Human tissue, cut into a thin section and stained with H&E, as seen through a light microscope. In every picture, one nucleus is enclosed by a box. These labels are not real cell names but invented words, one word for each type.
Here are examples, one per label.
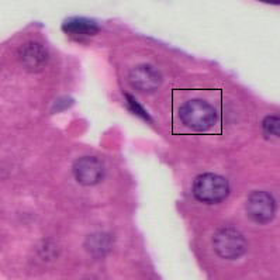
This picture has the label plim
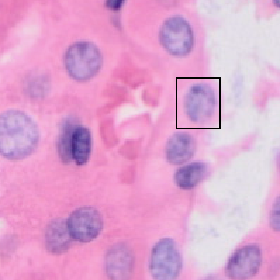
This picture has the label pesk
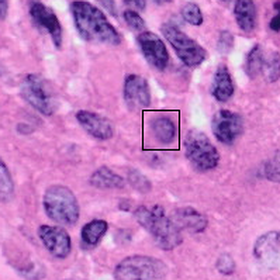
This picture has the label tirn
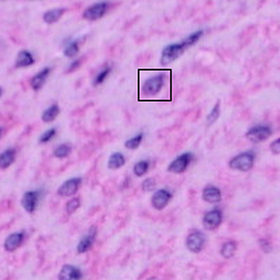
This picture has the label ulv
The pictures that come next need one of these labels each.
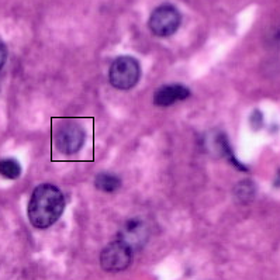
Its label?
plim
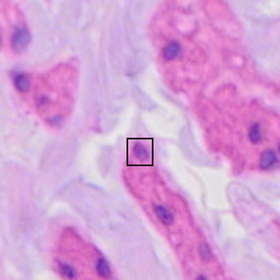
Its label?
ulv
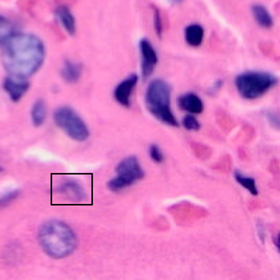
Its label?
pesk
